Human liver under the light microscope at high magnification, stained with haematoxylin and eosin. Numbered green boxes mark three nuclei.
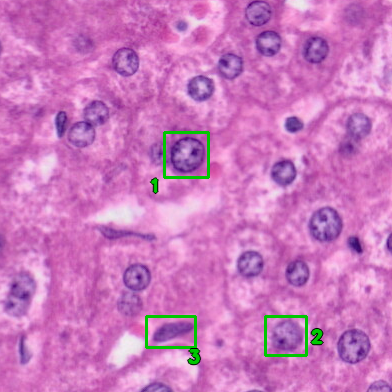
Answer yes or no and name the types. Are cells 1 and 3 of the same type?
No, just to clarify, cell 1 is a hepatocyte and cell 3 is a Kupffer cell.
